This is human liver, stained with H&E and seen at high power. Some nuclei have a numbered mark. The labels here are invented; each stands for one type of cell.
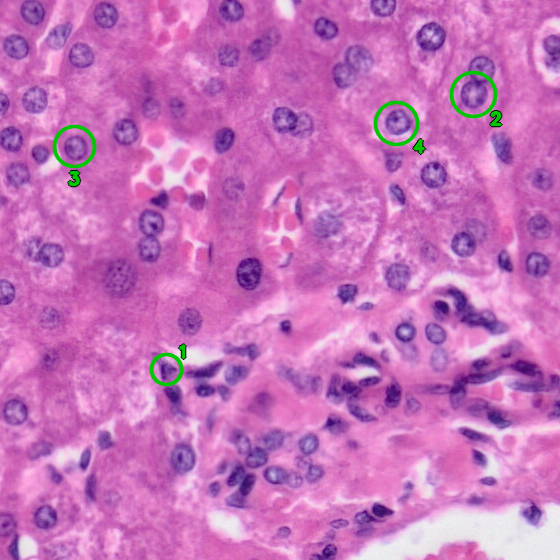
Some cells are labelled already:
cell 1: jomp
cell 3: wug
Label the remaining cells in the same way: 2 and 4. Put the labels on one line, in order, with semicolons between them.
wug; wug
